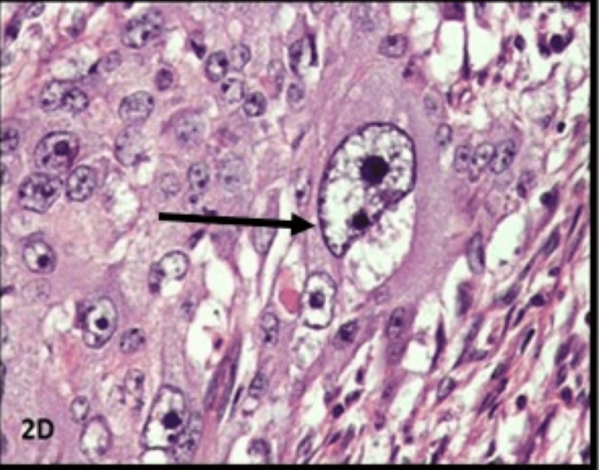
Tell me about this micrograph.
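The nuclei are large, round to oval and vary markedly in size and shape from cell to cell. Most have pale, open chromatin and one or more conspicuous dark nucleoli. One cell in the middle carries a giant nucleus, far larger than its neighbours, with clear chromatin and two dark nucleoli. To the right the tumor cells give way to stroma with slender, elongated spindle-shaped nuclei.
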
